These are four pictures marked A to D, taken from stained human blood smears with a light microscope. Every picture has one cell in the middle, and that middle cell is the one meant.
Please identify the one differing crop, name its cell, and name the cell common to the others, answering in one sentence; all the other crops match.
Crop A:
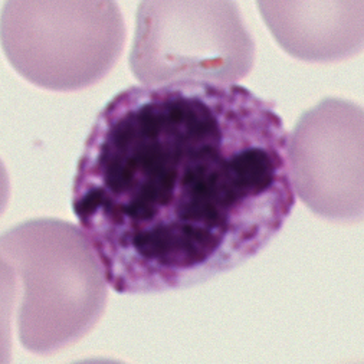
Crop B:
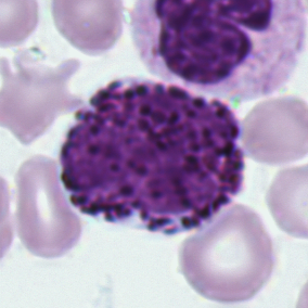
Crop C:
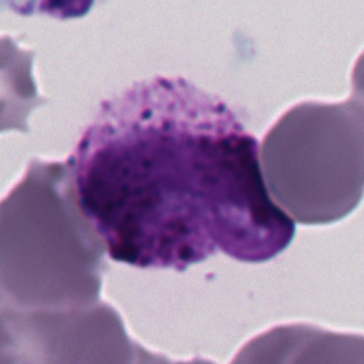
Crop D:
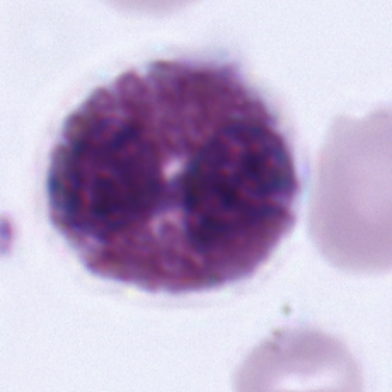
What sets crop D apart is that it is an eosinophil; the others are all basophils.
